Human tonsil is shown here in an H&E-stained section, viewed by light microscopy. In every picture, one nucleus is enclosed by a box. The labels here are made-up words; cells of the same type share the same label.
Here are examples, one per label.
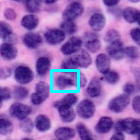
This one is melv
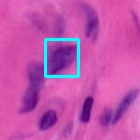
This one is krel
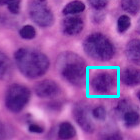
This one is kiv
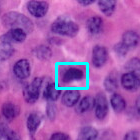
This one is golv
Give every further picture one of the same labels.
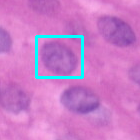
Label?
kiv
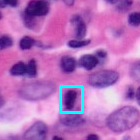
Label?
krel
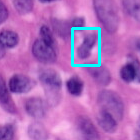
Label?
kiv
